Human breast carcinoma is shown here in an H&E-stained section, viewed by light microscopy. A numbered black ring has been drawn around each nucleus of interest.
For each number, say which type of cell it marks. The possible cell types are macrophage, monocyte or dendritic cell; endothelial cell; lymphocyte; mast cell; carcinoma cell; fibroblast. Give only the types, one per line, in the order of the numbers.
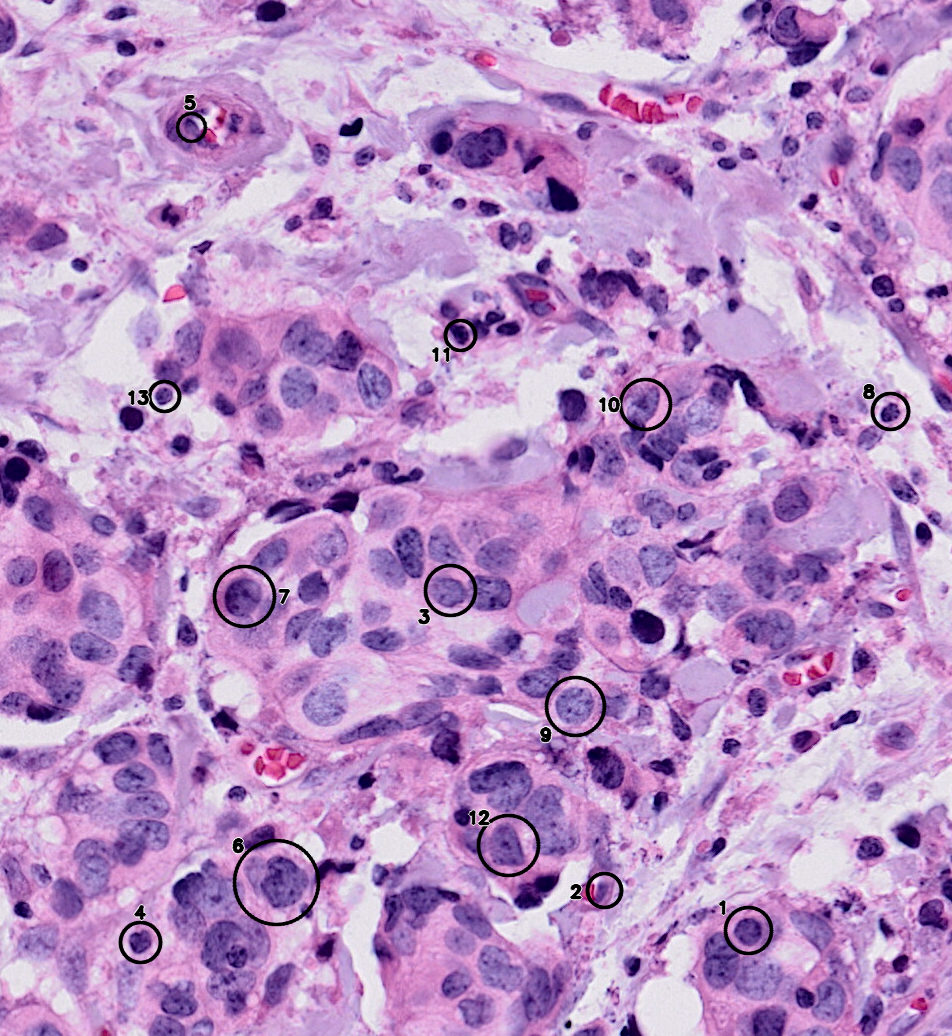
carcinoma cell
endothelial cell
carcinoma cell
lymphocyte
endothelial cell
carcinoma cell
carcinoma cell
lymphocyte
carcinoma cell
carcinoma cell
lymphocyte
carcinoma cell
lymphocyte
